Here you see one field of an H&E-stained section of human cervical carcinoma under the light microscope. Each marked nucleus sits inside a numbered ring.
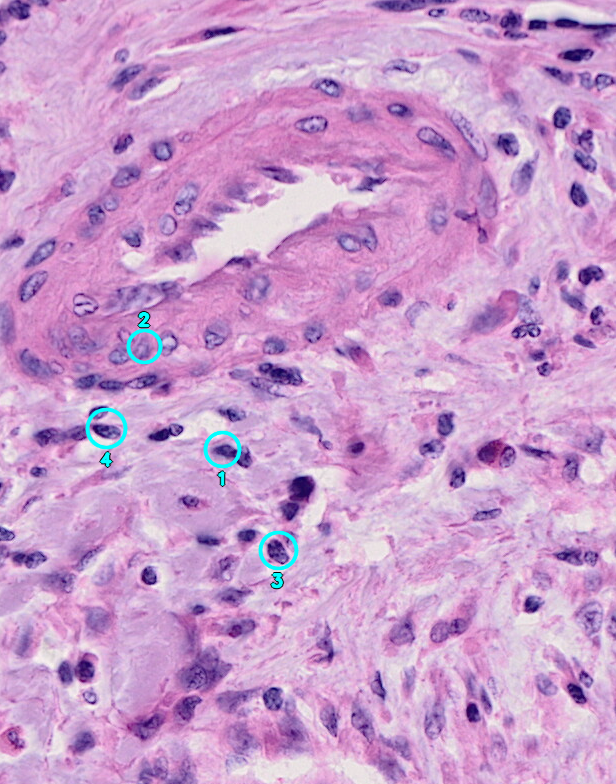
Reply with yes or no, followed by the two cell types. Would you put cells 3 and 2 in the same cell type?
No, cell 2 is a smooth muscle cell, but cell 3 is a lymphocyte.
